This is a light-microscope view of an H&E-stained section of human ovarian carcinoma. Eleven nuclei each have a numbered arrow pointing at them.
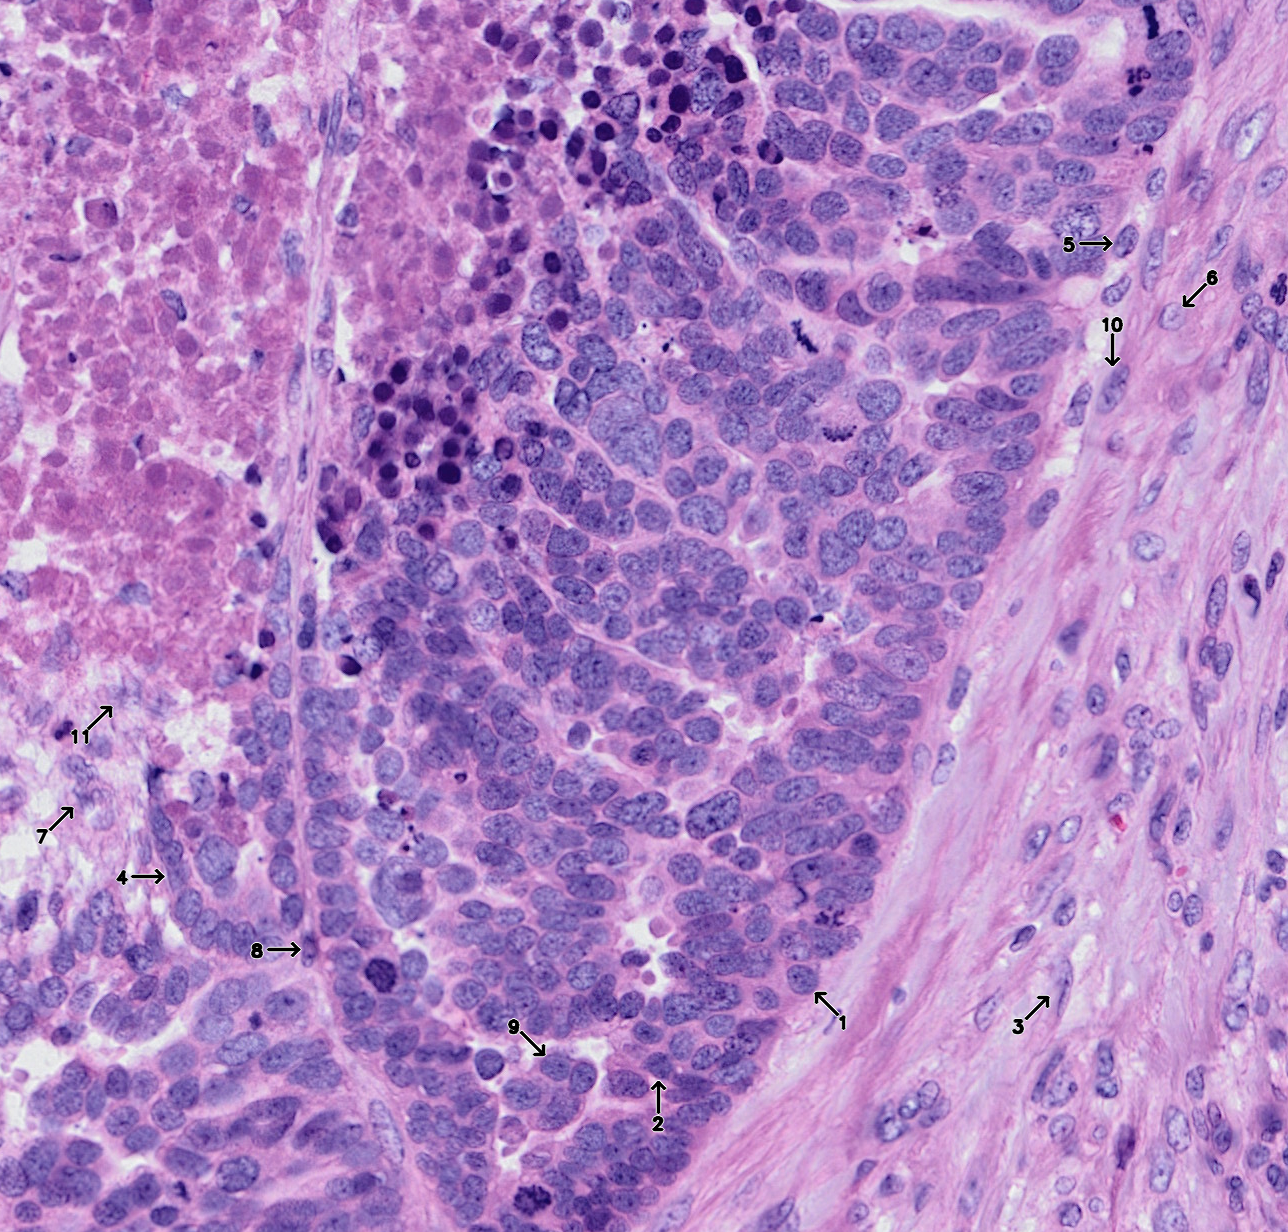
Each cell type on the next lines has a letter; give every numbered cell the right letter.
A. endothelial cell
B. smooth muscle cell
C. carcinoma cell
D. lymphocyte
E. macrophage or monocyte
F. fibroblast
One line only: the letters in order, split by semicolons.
C; C; F; C; E; F; F; E; C; F; F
